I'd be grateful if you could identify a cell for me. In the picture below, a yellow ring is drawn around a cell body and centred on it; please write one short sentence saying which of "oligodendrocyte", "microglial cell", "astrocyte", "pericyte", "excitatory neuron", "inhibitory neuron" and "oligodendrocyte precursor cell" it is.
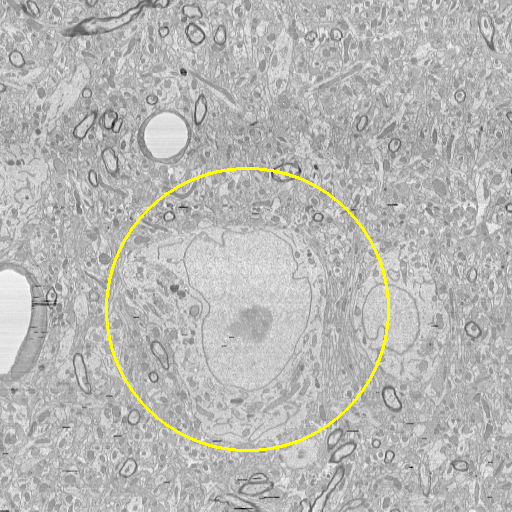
The cell under the ring's centre is an excitatory neuron.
